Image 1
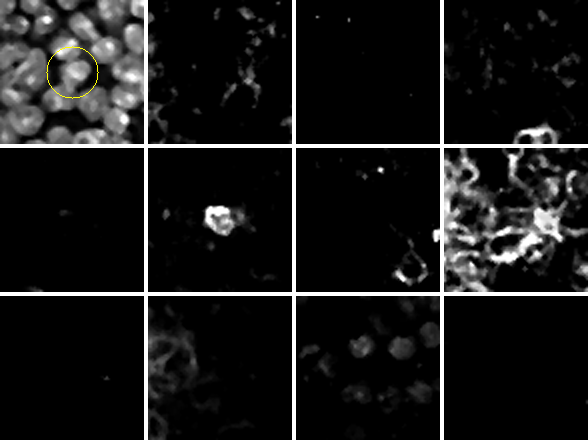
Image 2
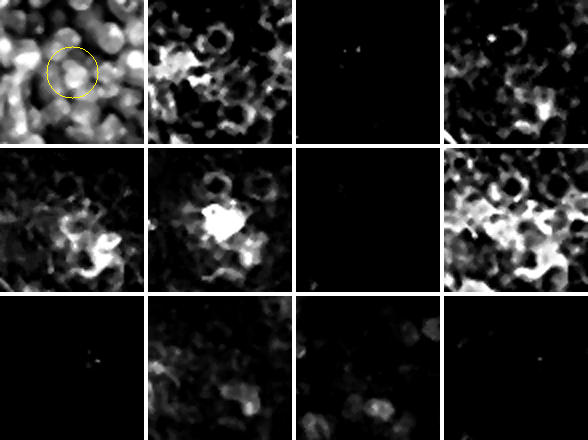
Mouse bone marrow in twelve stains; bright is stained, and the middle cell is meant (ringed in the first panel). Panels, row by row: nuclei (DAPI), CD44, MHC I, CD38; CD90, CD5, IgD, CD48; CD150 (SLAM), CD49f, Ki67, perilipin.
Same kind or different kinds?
Same: T cells.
